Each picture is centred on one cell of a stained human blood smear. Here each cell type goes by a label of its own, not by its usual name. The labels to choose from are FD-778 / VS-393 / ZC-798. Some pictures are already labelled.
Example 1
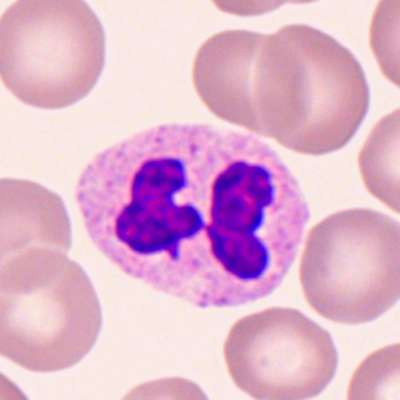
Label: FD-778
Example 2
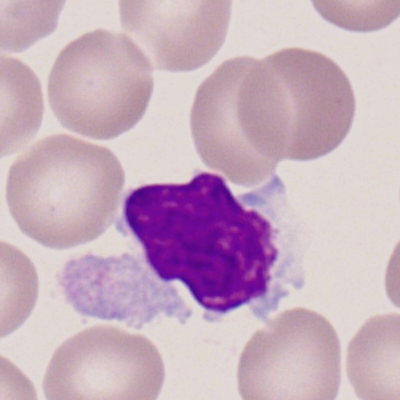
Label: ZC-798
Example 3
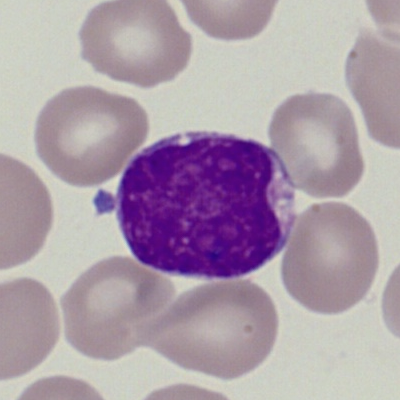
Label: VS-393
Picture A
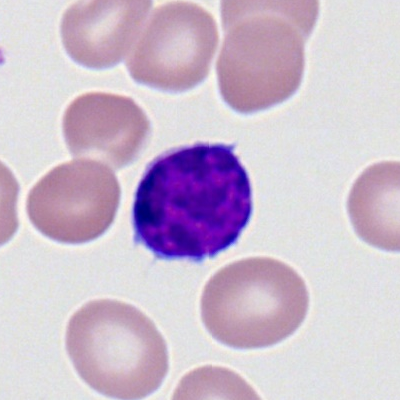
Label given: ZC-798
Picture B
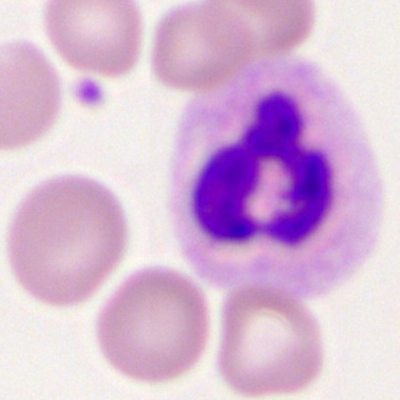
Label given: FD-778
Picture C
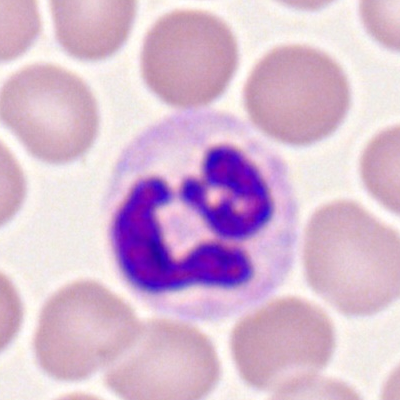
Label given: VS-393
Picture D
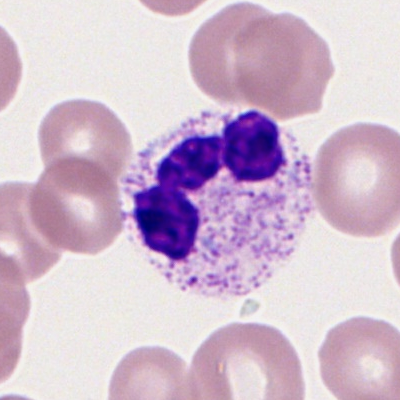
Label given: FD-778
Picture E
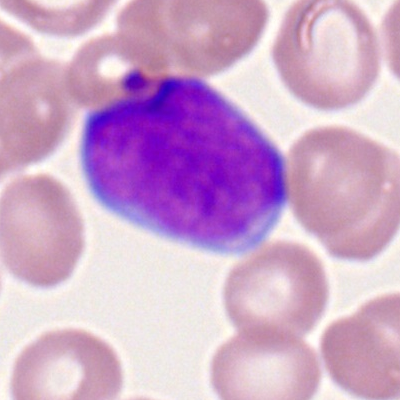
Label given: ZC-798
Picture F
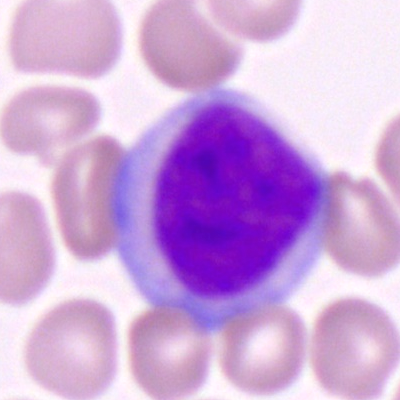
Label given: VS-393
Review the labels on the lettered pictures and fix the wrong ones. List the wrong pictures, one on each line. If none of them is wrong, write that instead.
Wrong: C (VS-393); correct: FD-778
Wrong: E (ZC-798); correct: VS-393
